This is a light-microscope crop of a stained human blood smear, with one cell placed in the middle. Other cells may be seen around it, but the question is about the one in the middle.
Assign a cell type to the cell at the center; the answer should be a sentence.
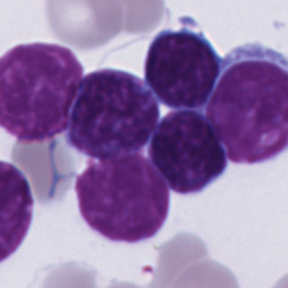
The central cell, amid any neighbouring cells, is a blast.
